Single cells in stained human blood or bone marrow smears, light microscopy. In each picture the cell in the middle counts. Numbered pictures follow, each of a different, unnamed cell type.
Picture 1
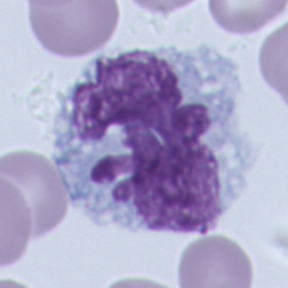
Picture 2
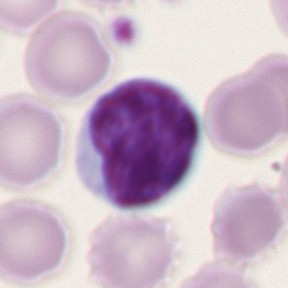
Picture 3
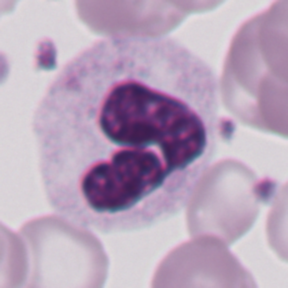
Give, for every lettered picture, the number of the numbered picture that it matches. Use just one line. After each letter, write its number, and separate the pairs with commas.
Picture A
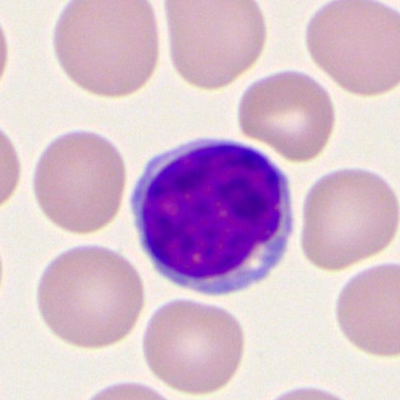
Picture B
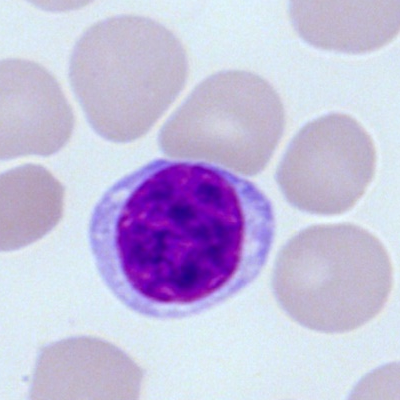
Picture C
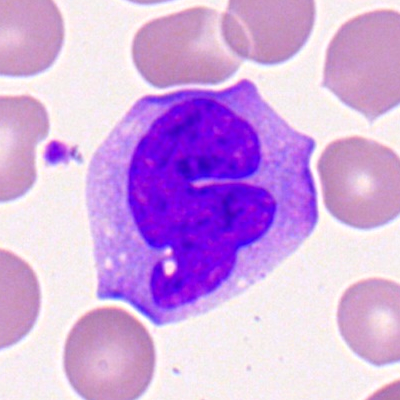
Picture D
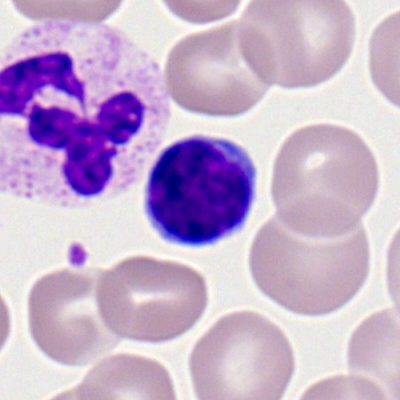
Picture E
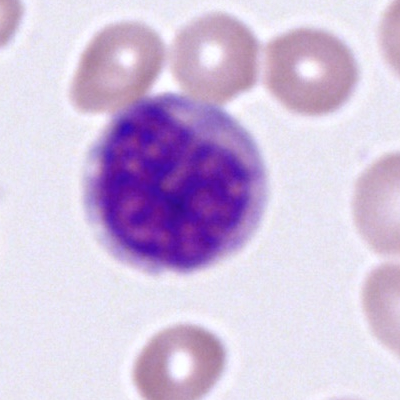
A 2, B 2, C 1, D 2, E 1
